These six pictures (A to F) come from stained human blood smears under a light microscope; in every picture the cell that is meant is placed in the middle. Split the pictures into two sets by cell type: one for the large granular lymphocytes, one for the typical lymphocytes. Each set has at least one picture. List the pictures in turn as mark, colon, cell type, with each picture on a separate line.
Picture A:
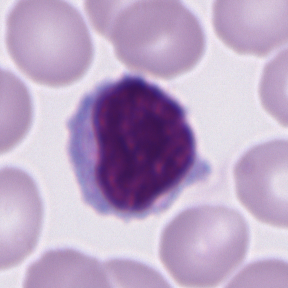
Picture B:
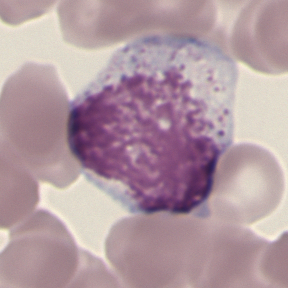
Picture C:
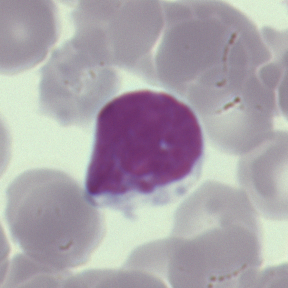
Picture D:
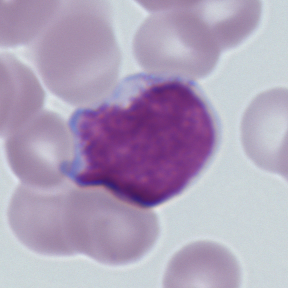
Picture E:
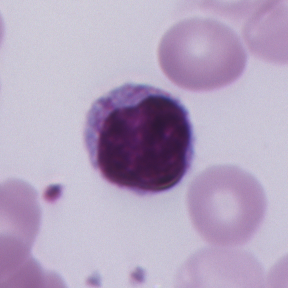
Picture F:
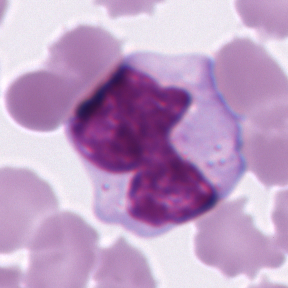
A: typical lymphocyte
B: large granular lymphocyte
C: typical lymphocyte
D: large granular lymphocyte
E: large granular lymphocyte
F: large granular lymphocyte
